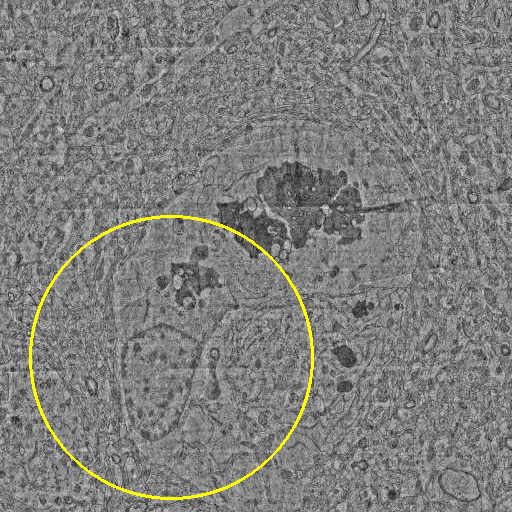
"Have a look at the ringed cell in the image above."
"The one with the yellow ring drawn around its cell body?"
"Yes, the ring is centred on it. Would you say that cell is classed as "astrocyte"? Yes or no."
yes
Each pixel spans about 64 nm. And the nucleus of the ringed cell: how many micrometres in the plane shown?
Roughly 7 micrometres long and 5 micrometres wide; in this plane the nucleus is clearly longer than it is wide.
